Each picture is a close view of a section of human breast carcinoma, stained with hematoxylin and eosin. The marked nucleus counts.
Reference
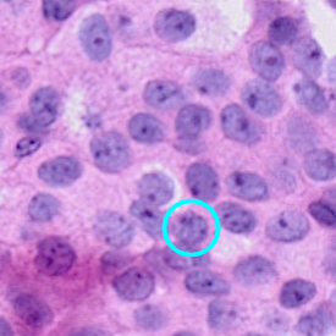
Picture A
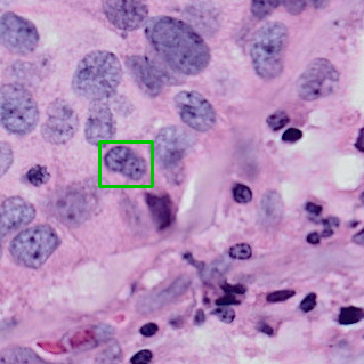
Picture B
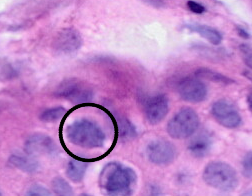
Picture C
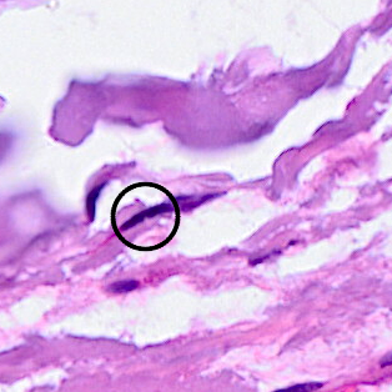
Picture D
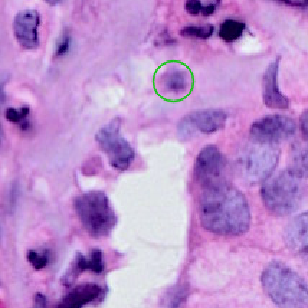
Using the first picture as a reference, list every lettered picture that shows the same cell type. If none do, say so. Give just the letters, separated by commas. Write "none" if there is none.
A, B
